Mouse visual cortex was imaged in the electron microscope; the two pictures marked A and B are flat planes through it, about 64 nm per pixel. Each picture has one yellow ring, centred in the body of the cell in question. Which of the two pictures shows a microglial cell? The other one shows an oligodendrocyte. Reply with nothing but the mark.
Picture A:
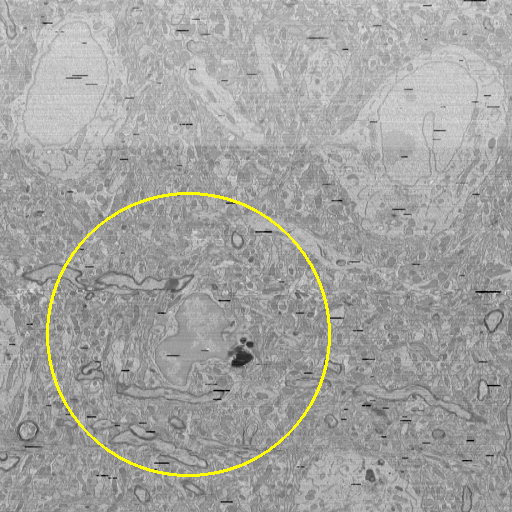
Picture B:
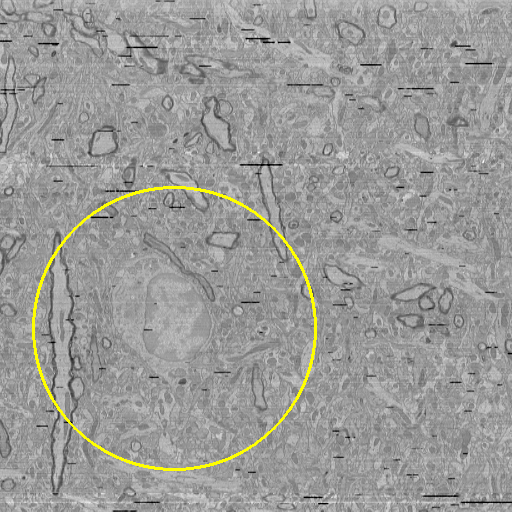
A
